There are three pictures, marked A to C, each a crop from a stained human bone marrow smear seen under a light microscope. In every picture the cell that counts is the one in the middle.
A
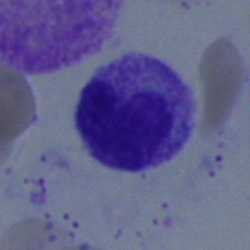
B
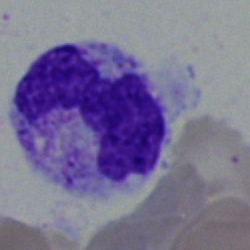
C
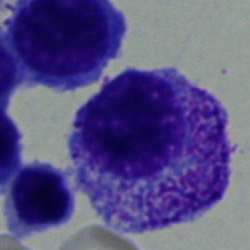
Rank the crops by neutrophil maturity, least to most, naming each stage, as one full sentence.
From least to most mature, the cells come in the order crop C (a myelocyte), crop A (a metamyelocyte) and crop B (a band neutrophil).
